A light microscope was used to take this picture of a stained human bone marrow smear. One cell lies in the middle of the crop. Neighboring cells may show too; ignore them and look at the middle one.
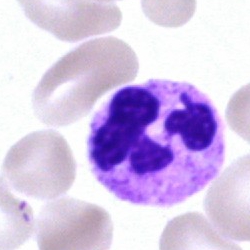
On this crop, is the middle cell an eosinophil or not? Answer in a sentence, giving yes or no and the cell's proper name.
No, what sits in the centre of the crop is a segmented neutrophil rather than an eosinophil.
